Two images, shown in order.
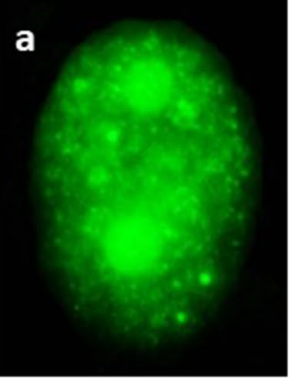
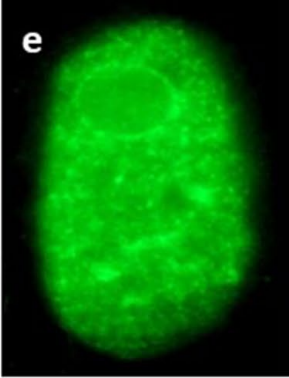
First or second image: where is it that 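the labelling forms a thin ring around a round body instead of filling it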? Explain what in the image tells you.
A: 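The second image. Second image: a thin green ring outlines a round region whose interior is not bright. First image: the round bodies are filled with bright green.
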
